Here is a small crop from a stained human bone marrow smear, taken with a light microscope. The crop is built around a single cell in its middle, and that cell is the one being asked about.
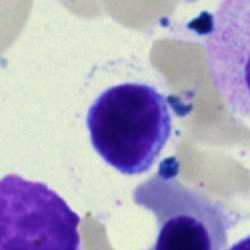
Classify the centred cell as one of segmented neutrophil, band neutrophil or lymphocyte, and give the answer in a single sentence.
The cell centered in this field of view is a lymphocyte.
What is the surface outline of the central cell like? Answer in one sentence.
Nothing juts out from the margin, which is smooth throughout.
